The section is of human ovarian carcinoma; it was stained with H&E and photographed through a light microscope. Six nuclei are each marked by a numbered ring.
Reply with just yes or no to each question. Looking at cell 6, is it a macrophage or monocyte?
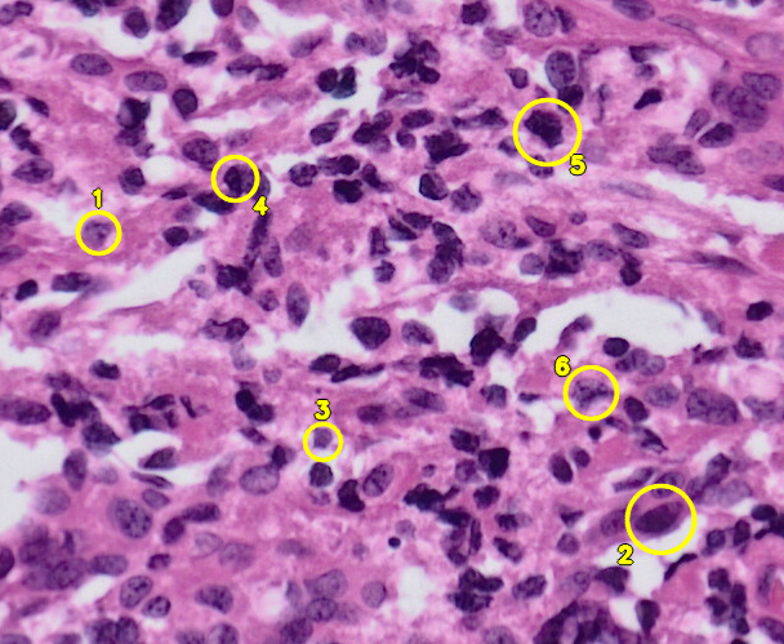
yes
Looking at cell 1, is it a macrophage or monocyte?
yes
